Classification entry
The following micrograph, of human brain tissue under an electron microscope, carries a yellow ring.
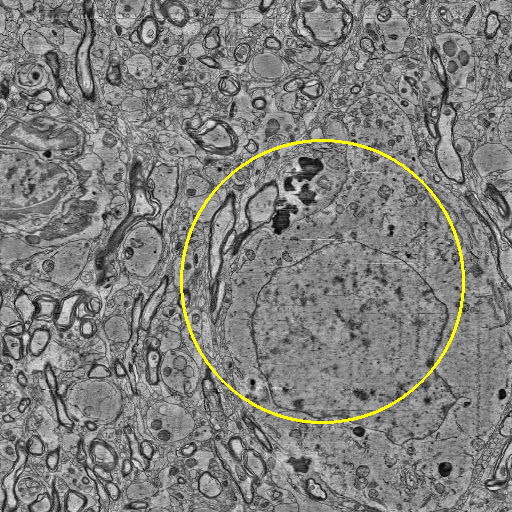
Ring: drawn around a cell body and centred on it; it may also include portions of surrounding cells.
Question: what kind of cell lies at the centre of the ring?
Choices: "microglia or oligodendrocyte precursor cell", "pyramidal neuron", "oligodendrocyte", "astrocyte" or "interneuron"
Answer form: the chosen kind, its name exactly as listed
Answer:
pyramidal neuron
